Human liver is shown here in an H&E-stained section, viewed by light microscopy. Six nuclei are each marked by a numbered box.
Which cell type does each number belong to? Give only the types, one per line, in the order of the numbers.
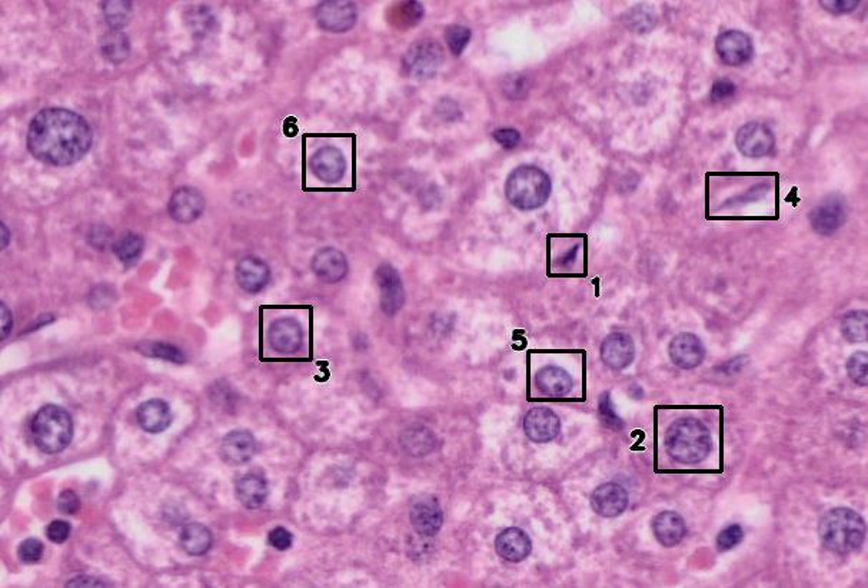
endothelial cell
hepatocyte
hepatocyte
Kupffer cell
hepatocyte
hepatocyte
